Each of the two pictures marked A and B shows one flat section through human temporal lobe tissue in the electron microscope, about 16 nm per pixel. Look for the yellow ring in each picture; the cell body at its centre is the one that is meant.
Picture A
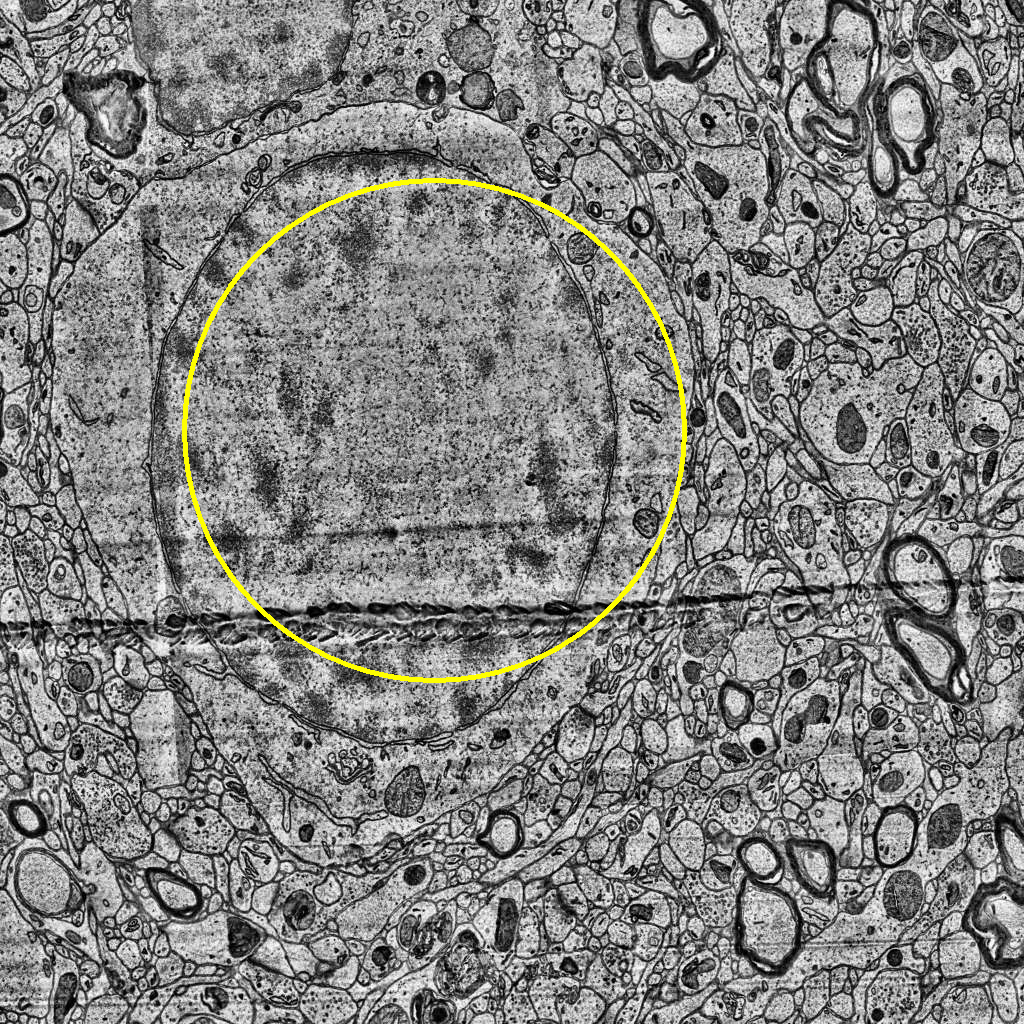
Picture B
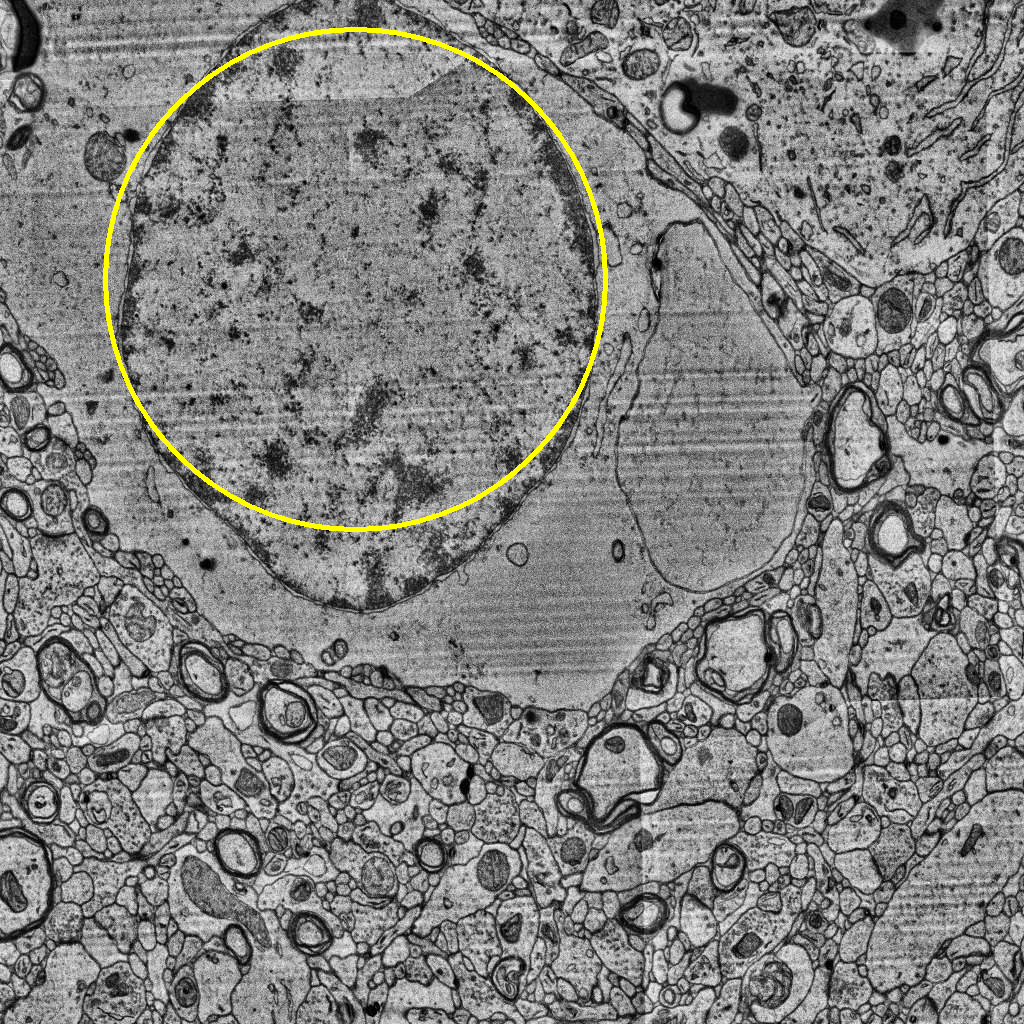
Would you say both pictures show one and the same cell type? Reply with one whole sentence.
No. Picture A shows an interneuron, but picture B shows an astrocyte.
